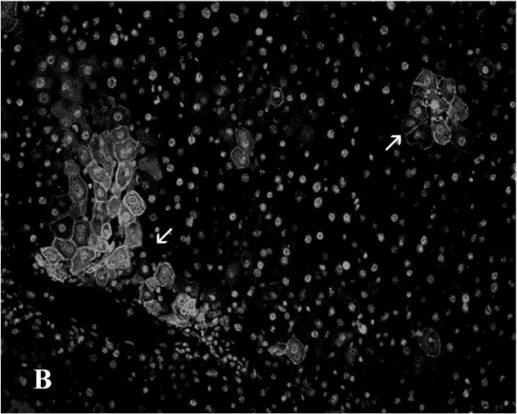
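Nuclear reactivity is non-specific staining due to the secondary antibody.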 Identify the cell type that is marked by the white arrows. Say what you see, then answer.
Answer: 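Hepatocytes. The arrows point to clusters of large polygonal cells with bright cell borders. Each cell has a round central nucleus. The labelled cells form groups among unlabelled tissue with scattered nuclei.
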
